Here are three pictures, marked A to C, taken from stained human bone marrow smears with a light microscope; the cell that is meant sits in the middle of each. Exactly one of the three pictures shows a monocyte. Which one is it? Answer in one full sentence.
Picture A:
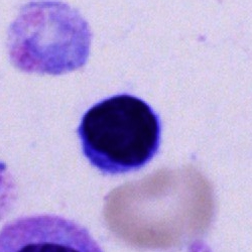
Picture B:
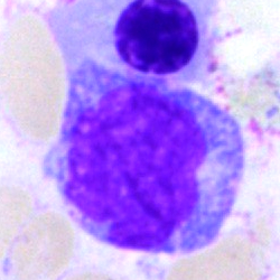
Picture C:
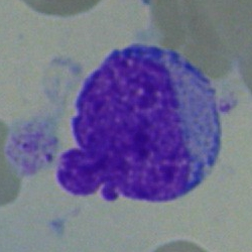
Picture B is the one that shows the monocyte.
